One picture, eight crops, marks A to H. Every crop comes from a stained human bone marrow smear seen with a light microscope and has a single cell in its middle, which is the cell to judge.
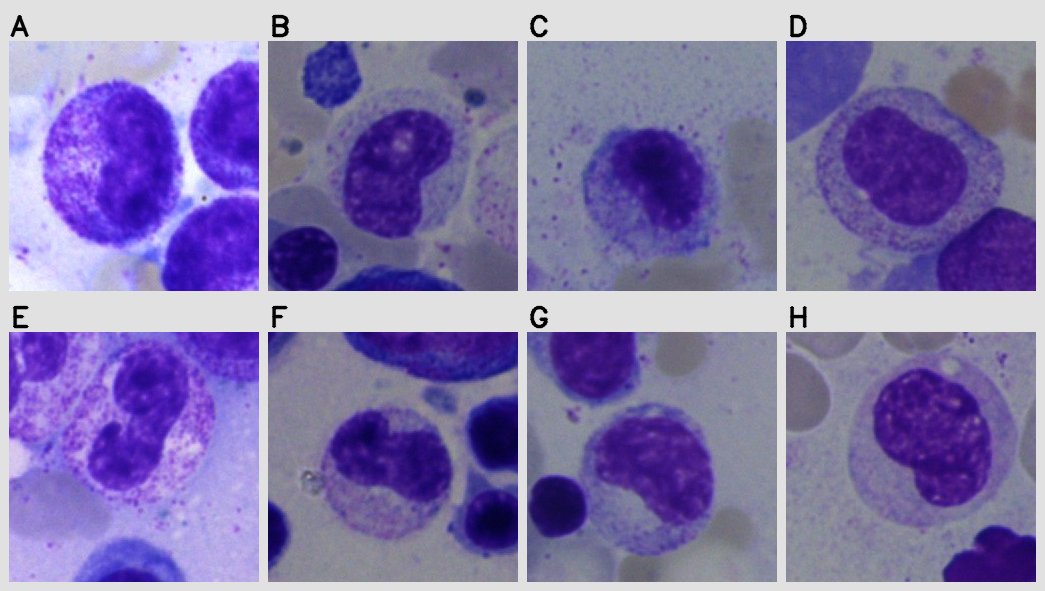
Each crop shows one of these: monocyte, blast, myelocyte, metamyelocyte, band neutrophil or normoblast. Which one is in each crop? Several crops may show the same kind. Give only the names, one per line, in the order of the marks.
metamyelocyte
metamyelocyte
myelocyte
myelocyte
band neutrophil
band neutrophil
metamyelocyte
metamyelocyte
